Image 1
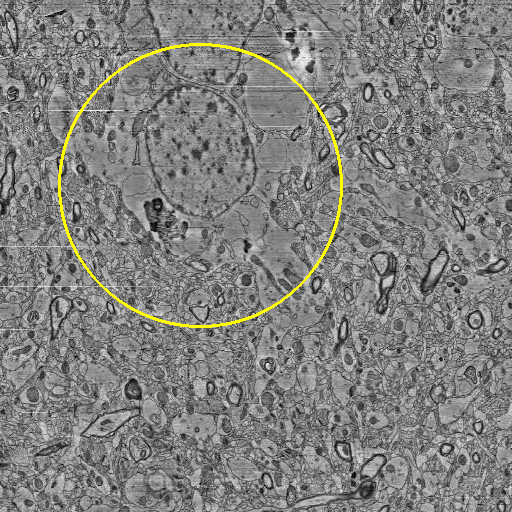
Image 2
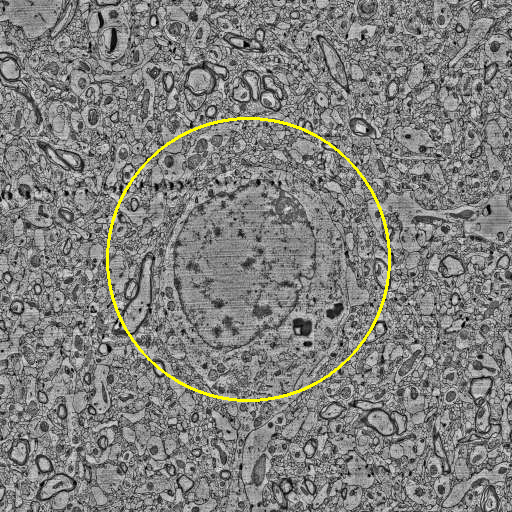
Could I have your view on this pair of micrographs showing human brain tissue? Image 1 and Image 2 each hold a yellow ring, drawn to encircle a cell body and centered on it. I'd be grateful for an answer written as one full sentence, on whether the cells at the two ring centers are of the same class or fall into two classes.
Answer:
The cells at the centers of the two rings fall into two classes.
